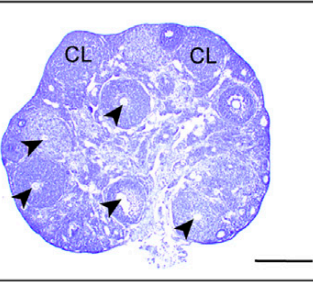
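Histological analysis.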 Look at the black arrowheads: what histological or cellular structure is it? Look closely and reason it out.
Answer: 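Arrowheads point to small pale rounded spots inside large solid rounded bodies of the ovary. That points to this answer: entrapped oocytes.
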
